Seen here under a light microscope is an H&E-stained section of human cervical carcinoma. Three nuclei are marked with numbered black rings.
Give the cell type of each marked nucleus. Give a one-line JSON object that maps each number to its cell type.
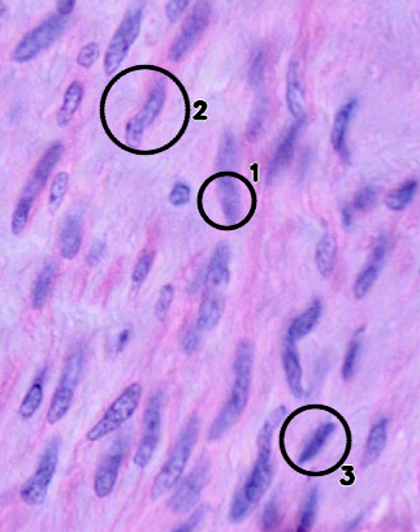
{"1": "smooth muscle cell", "2": "smooth muscle cell", "3": "fibroblast"}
